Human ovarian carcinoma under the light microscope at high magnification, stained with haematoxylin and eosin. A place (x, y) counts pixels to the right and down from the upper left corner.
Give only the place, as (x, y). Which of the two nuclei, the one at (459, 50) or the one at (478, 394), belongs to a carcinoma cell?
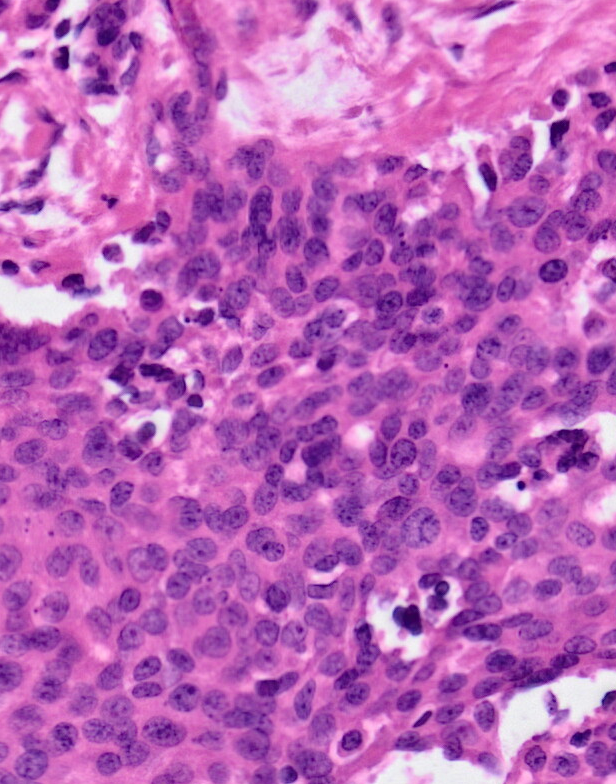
(478, 394)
